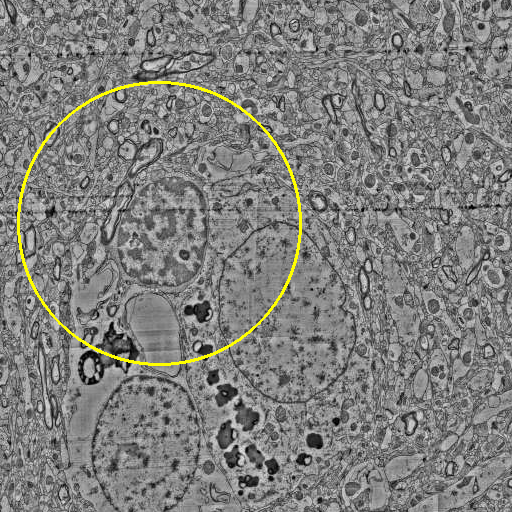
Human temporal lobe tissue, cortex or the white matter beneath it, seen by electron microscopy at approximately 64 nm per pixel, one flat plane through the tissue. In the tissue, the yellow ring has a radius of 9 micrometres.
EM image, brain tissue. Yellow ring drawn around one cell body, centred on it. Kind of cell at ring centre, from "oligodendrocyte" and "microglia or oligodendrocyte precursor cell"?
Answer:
oligodendrocyte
